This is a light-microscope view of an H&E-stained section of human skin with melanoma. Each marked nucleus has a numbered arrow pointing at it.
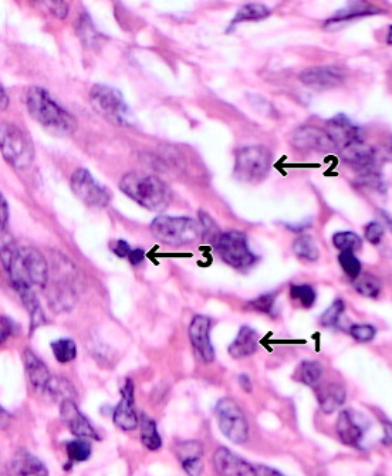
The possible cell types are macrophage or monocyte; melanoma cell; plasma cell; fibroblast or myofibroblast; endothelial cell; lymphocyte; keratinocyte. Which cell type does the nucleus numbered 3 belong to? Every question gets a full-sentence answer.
Marked with the number 3, this cell is a lymphocyte.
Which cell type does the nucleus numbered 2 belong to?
In the tissue shown, cell 2 is a melanoma cell.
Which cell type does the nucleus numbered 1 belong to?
It is as a melanoma cell that the cell numbered 1 is identified.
